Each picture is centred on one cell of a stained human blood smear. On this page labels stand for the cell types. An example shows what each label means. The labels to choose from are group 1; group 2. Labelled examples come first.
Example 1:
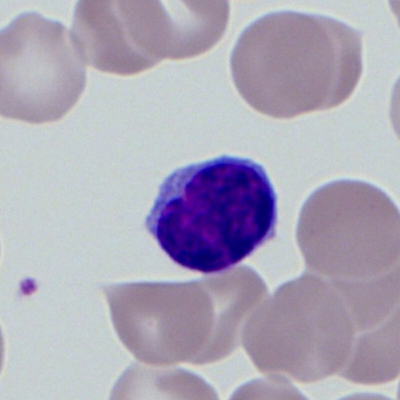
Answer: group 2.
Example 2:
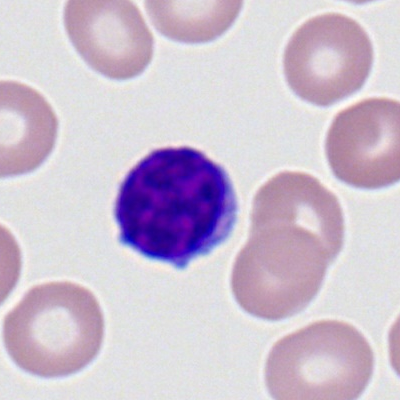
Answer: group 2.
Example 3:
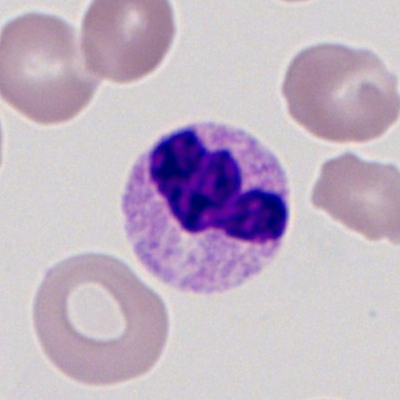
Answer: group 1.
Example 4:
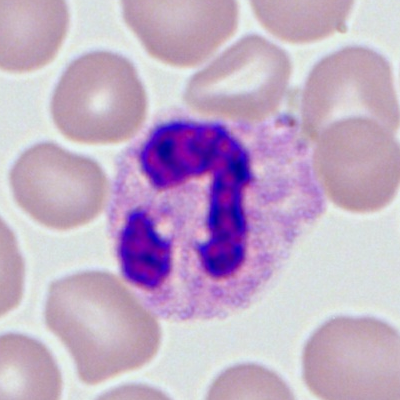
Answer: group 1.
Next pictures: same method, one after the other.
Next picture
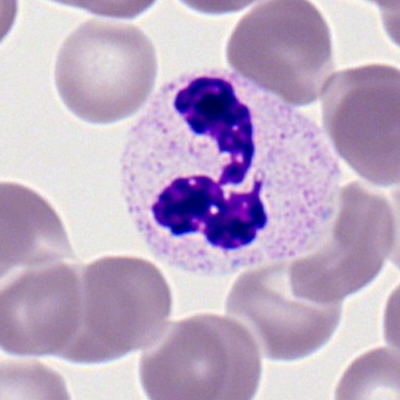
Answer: group 1.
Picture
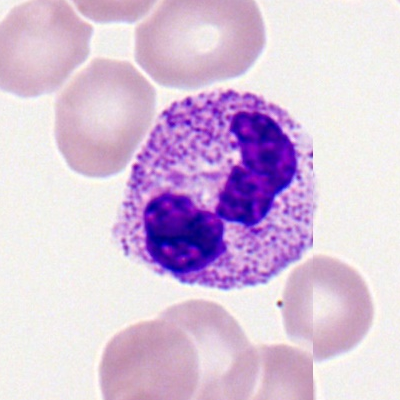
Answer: group 1.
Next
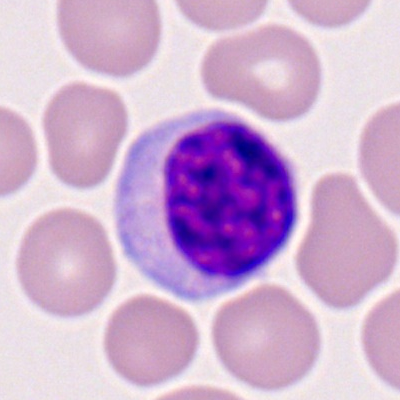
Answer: group 2.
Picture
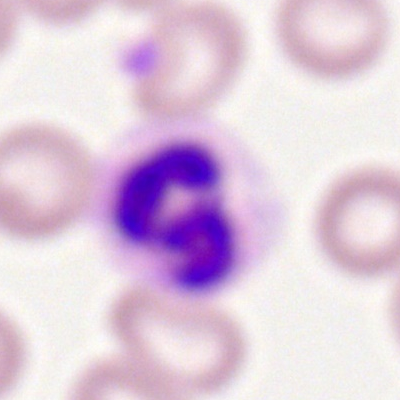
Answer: group 1.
